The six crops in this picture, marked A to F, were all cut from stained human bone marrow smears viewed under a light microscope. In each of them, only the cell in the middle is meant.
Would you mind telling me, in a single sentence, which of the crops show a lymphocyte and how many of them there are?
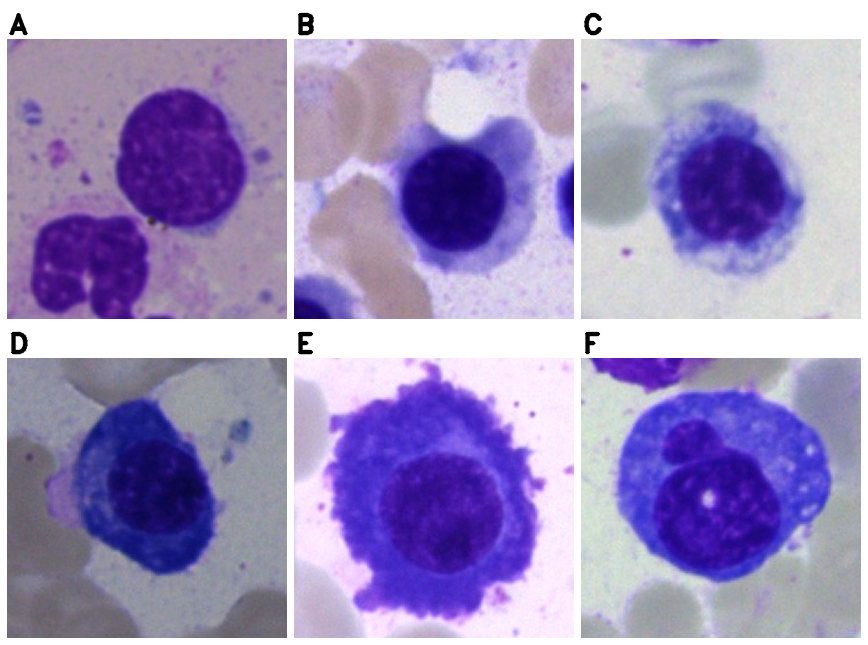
The count is one: crop A is the only crop with a lymphocyte.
